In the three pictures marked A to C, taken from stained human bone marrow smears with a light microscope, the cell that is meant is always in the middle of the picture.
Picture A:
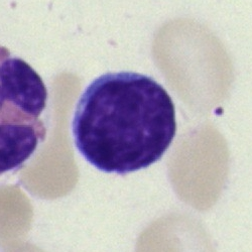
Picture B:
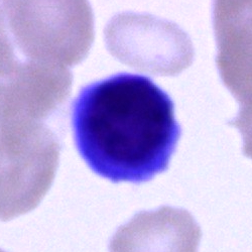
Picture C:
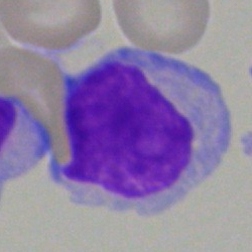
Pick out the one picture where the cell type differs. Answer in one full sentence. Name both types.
All pictures except B show lymphocytes; picture B shows an erythroblast.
